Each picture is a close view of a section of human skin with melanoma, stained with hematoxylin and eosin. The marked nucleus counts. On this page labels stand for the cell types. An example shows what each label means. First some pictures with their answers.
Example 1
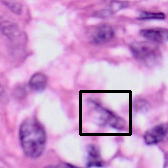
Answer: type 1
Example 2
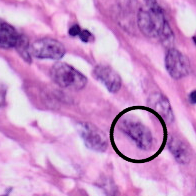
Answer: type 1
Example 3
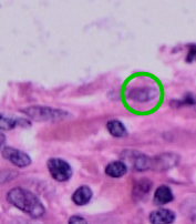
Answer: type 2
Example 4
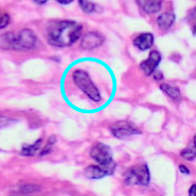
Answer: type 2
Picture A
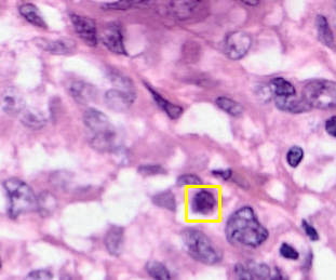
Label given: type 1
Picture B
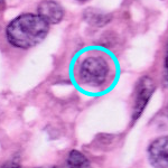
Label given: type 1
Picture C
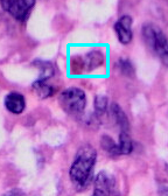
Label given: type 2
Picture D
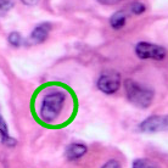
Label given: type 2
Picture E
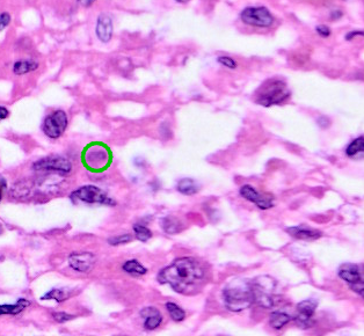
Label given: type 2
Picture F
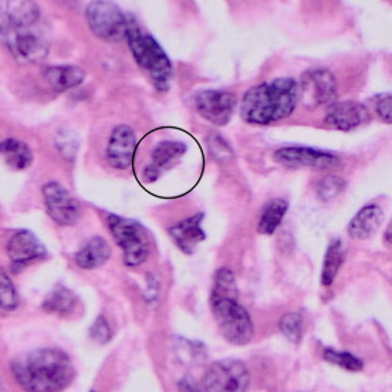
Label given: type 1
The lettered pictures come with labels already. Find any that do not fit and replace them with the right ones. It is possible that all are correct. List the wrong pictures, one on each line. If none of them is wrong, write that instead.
Every label is right.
